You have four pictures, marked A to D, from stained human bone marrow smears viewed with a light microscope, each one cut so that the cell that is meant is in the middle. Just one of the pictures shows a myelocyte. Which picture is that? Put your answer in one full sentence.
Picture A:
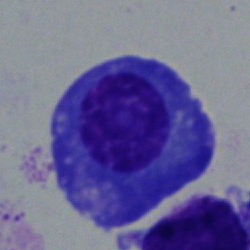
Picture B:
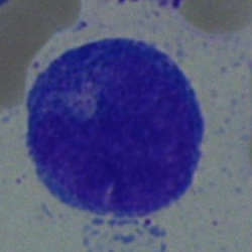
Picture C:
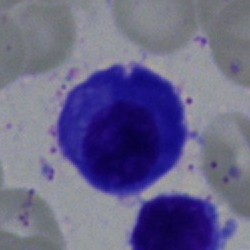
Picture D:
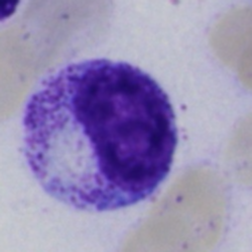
The myelocyte is the one in picture D.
